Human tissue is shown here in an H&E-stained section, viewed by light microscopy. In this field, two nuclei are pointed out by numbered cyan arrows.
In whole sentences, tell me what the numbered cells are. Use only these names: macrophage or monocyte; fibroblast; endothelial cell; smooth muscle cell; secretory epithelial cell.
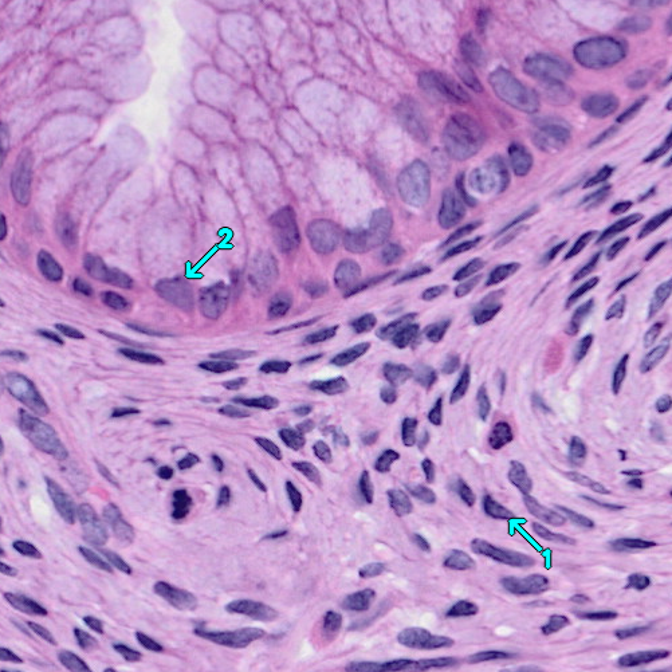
Cell 1 is a fibroblast and cell 2 is a secretory epithelial cell.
